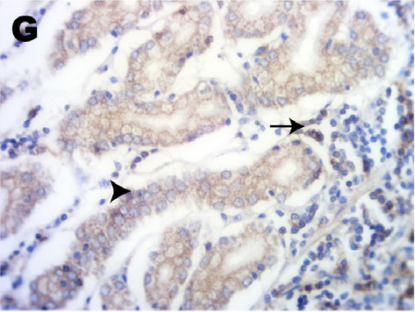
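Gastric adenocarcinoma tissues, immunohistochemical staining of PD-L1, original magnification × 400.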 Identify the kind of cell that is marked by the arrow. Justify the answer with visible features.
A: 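Intratumoural immune cells. The arrow points to a small round cell in the stroma between glands. Many small round dark-nucleated cells crowd the stroma at the right.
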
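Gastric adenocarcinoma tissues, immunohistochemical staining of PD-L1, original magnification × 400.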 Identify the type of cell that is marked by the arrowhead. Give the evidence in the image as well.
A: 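Tumour cells. The arrowhead touches a gland lined by epithelial cells with light brown cytoplasm. The gland cells have round nuclei and form tubular structures.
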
